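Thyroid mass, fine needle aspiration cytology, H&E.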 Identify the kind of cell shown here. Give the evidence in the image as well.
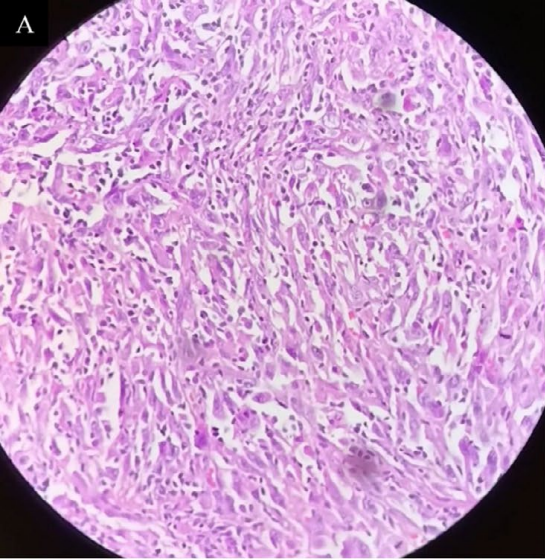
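Pleomorphic spindle and giant tumor cells. Many cells are elongated and spindle-shaped. Cells and nuclei vary widely in size and shape. Nuclei are dark and irregular.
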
